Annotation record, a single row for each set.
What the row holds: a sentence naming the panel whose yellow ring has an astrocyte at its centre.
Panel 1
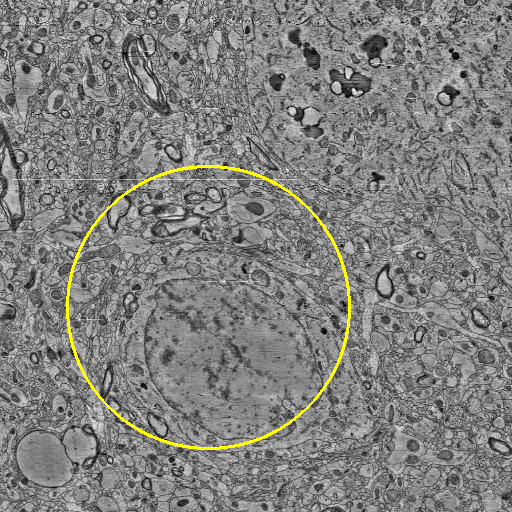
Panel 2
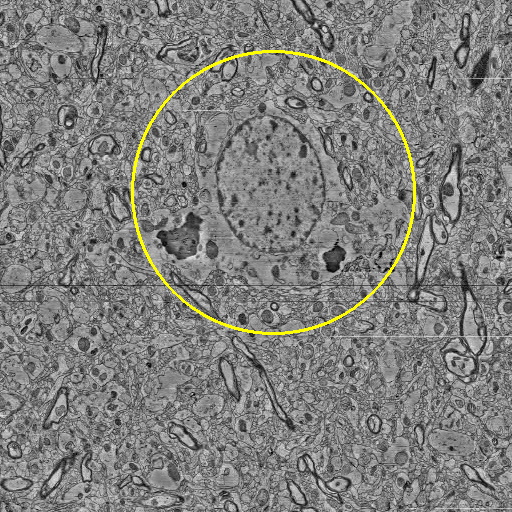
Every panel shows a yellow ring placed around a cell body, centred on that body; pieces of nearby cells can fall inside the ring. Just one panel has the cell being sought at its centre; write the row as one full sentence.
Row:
In panel 2, the cell at the middle of the yellow ring is the one sought.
